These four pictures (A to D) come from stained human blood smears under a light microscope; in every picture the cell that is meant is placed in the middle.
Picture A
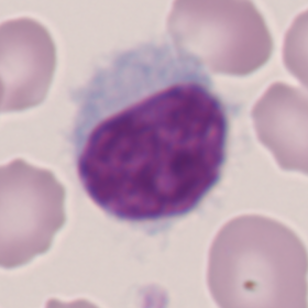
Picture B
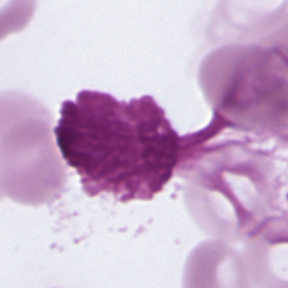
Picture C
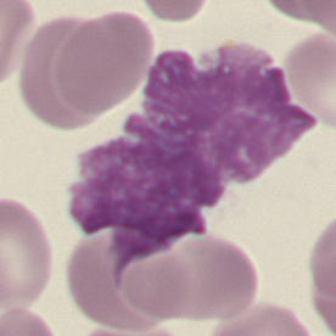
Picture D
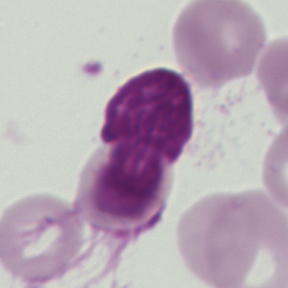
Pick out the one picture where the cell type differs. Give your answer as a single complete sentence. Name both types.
Picture A differs, because its cell is a hairy cell and the rest are smudge cells.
